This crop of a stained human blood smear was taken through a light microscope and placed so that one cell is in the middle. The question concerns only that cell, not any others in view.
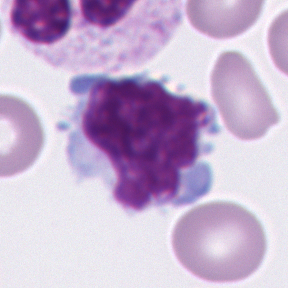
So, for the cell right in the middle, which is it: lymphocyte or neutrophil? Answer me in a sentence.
The cell in the exact centre of the crop is a lymphocyte.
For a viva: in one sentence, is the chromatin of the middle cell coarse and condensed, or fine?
You can see that its chromatin is coarsely clumped.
